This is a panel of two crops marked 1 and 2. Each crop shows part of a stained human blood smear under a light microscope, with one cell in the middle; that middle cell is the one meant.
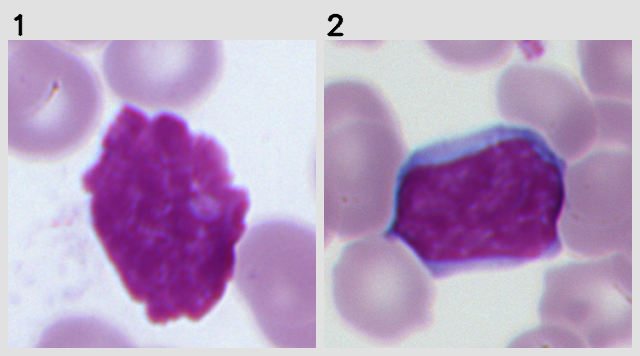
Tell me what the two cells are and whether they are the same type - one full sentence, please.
No, a smudge cell is centred in crop 1, and a typical lymphocyte is centred in crop 2.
